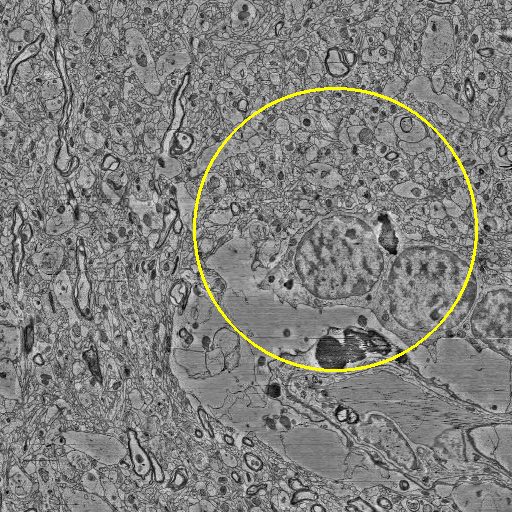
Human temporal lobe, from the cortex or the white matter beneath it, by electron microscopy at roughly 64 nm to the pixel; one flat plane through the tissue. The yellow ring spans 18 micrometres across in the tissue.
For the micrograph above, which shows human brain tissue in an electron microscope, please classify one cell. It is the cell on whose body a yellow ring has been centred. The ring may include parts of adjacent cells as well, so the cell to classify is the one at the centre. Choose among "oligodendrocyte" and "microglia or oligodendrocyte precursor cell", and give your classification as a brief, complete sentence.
I classify this cell as an oligodendrocyte.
